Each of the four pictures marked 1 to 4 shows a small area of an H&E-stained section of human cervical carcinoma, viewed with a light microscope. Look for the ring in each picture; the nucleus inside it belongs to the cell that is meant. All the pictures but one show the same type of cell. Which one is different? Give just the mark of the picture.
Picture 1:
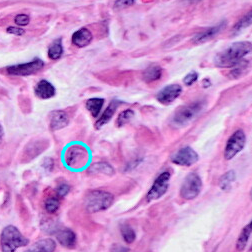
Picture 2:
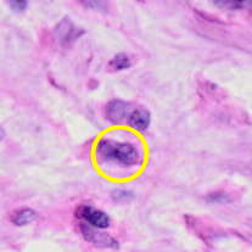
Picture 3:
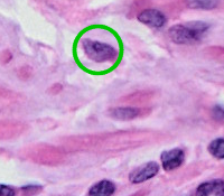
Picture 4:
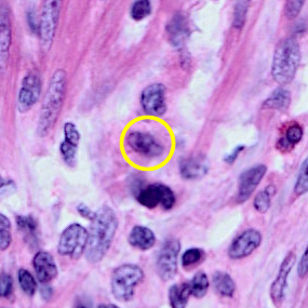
1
